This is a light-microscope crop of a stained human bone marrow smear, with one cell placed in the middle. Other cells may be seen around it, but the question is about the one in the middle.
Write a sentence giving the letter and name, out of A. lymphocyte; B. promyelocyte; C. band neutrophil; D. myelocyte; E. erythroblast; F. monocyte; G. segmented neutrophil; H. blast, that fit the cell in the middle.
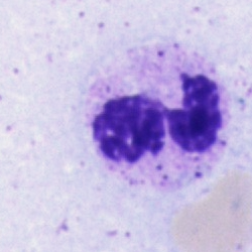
That cell in the center is a segmented neutrophil, hence option G.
